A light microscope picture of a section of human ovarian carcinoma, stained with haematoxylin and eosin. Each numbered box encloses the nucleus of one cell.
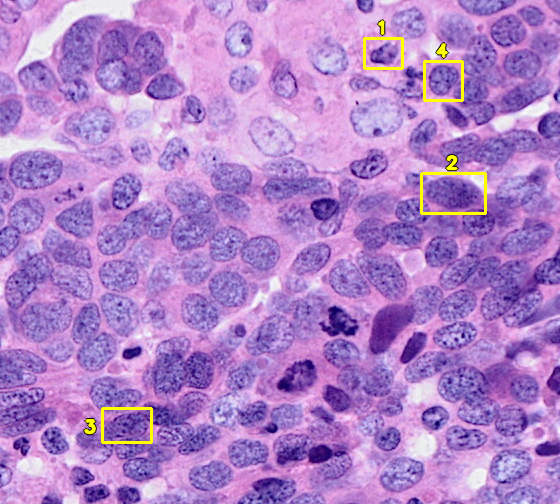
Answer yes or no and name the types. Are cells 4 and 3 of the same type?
Yes, the two cells marked 4 and 3 are both carcinoma cells.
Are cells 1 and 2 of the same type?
No, cell 1 should be called a macrophage or monocyte, and cell 2 should be called a carcinoma cell.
